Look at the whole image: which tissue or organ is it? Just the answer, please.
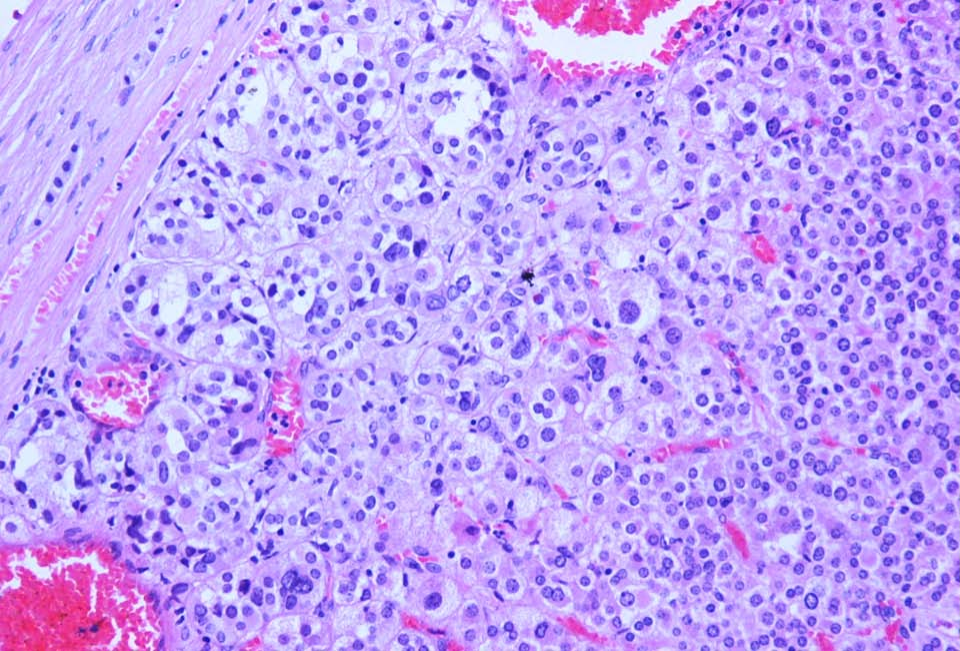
adrenocortical neoplasm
